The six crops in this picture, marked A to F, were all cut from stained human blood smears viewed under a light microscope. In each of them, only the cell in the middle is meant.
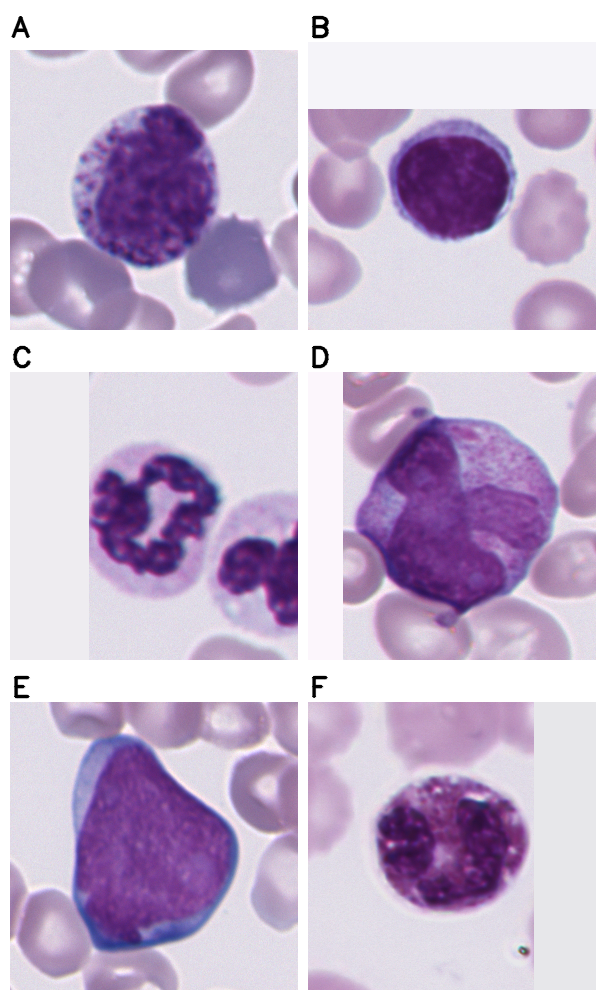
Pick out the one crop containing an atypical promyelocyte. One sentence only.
Look at crop D; that is the one with an atypical promyelocyte in its center.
